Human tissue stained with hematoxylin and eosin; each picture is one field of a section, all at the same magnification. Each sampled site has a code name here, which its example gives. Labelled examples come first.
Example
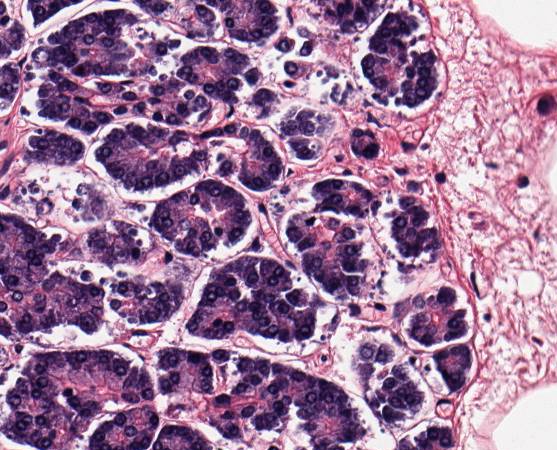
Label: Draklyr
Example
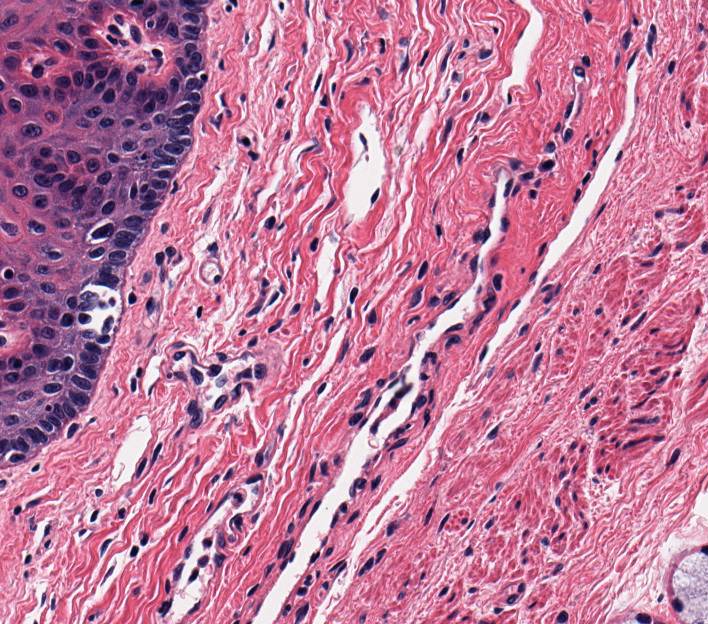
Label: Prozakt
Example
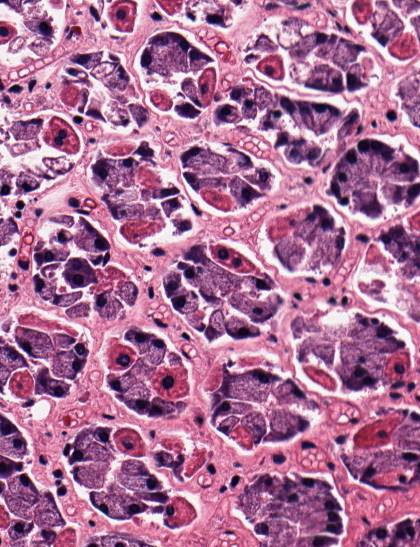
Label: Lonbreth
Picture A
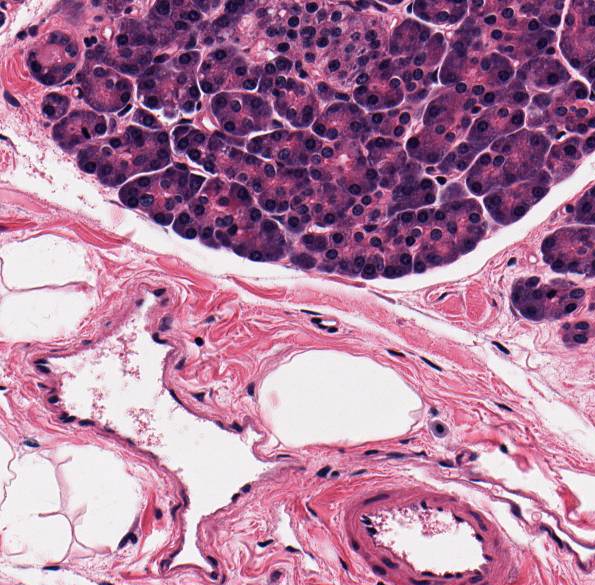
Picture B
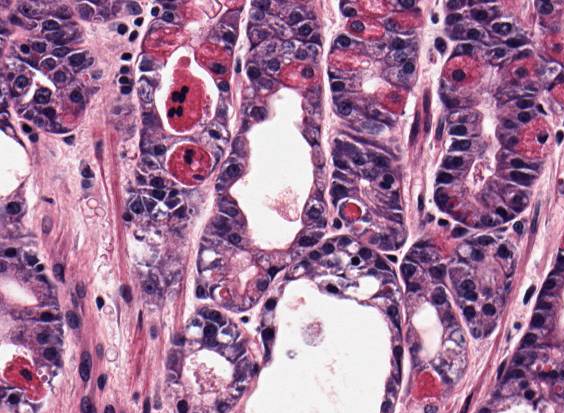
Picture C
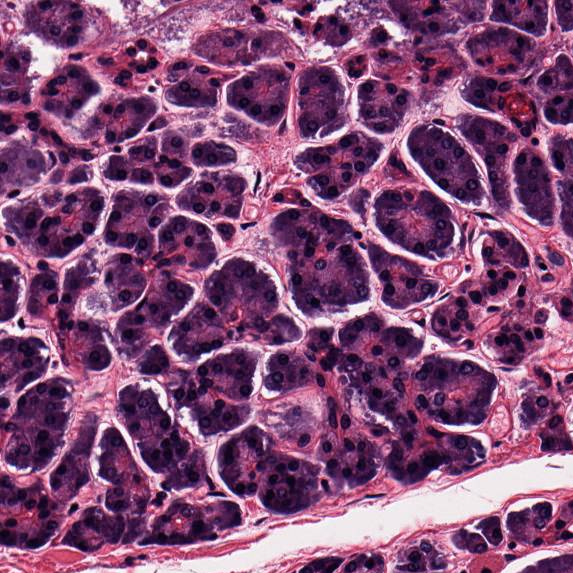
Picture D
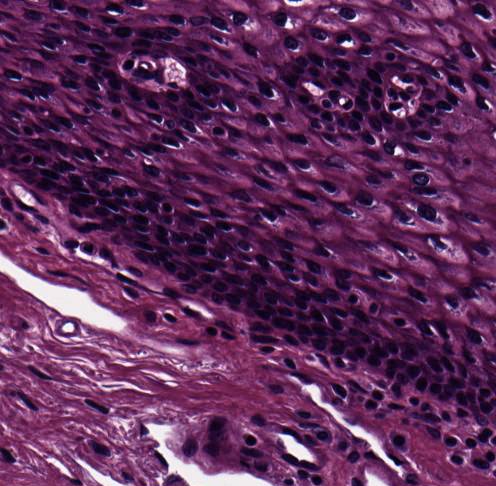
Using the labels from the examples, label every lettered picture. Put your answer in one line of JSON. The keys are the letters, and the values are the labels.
{"A": "Draklyr", "B": "Lonbreth", "C": "Draklyr", "D": "Prozakt"}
